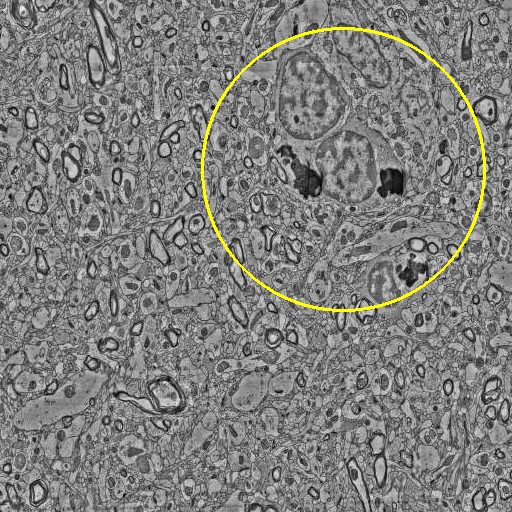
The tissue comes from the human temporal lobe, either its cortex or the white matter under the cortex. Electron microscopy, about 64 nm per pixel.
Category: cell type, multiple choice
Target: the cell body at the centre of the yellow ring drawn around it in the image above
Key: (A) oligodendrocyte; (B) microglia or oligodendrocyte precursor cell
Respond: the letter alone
A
